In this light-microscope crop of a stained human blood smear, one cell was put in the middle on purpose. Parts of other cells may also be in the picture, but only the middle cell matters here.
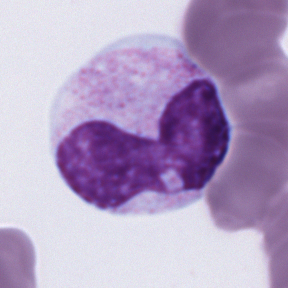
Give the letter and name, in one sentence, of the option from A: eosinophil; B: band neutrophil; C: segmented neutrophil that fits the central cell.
Since the cell in the centre is a band neutrophil, the correct option is B.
